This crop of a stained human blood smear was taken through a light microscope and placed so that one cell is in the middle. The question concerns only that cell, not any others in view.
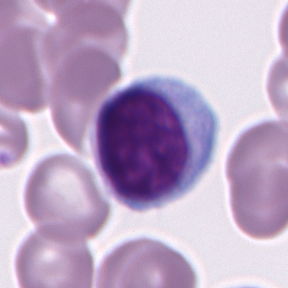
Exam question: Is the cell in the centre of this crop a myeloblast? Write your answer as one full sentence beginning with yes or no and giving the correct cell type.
No, the central cell is counted as a typical lymphocyte instead of a myeloblast.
